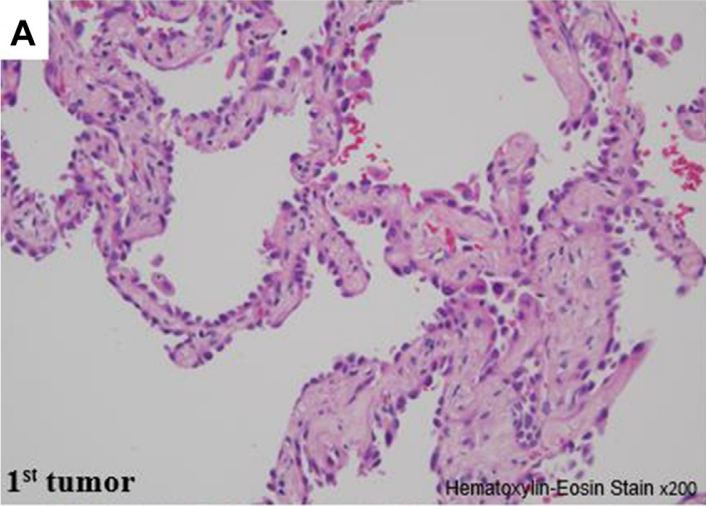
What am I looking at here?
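This is lung tissue in which the alveolar walls are lined by a single row of atypical epithelial tumor cells growing along the existing framework. The lining cells are cuboidal to low columnar with rounded, somewhat crowded nuclei that bulge into the airspaces. The walls beneath them are thickened by pale pink fibrous tissue, while the airspaces themselves remain open, with some red blood cells lying free in them.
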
